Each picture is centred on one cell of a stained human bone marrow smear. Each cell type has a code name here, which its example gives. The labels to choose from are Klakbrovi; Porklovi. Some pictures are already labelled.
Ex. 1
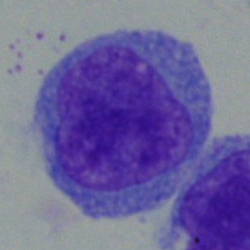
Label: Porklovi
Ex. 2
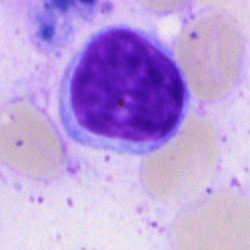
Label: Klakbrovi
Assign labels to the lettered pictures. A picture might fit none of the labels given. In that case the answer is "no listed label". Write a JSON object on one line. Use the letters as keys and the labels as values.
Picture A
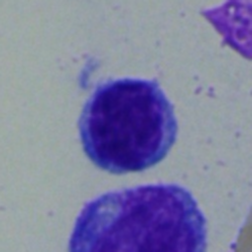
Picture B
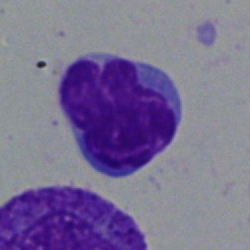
{"A": "Klakbrovi", "B": "Klakbrovi"}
